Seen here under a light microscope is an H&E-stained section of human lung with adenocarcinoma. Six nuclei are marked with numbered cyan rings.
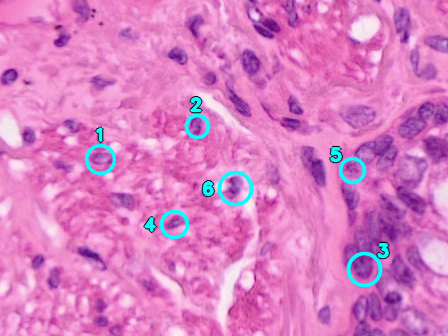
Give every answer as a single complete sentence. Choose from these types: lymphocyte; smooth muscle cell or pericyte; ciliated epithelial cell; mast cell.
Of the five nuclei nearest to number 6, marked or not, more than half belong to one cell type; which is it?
Around number 6, most of the five nearest nuclei are those of smooth muscle cells or pericytes.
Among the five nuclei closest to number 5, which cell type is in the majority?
Ciliated epithelial cells make up most of the five nuclei closest to number 5.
